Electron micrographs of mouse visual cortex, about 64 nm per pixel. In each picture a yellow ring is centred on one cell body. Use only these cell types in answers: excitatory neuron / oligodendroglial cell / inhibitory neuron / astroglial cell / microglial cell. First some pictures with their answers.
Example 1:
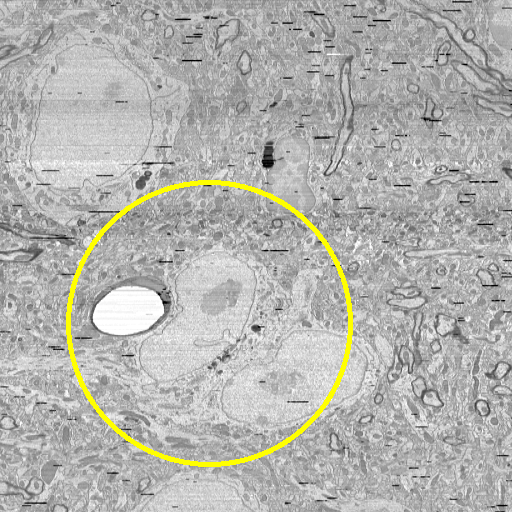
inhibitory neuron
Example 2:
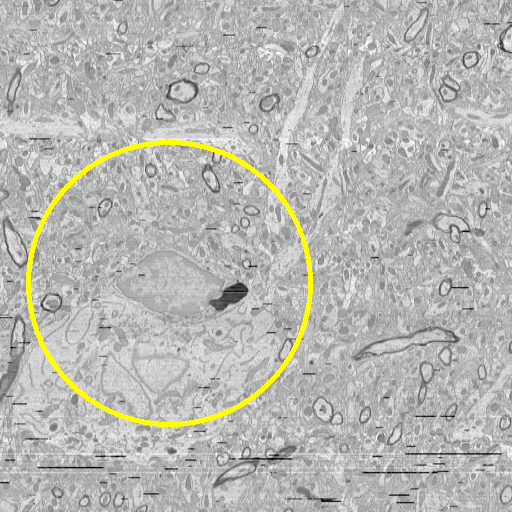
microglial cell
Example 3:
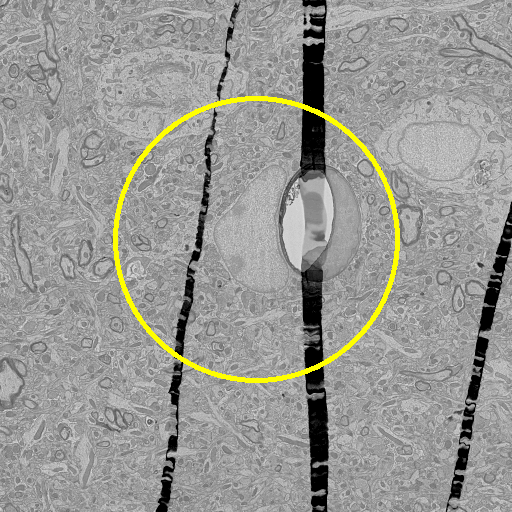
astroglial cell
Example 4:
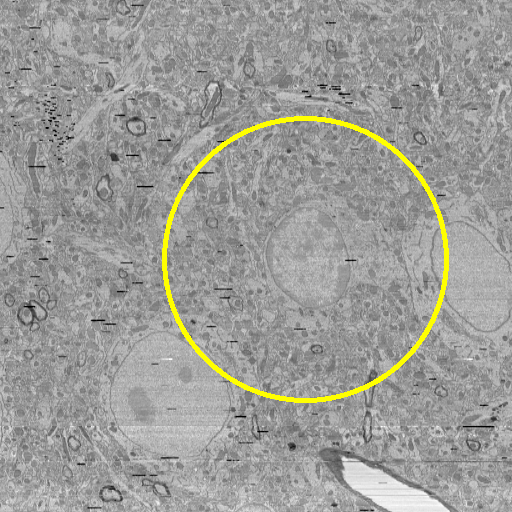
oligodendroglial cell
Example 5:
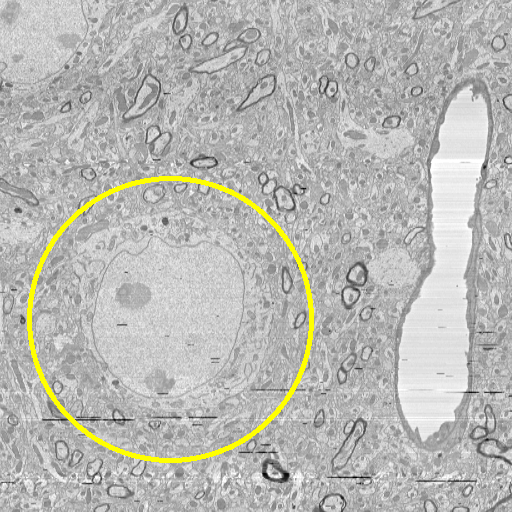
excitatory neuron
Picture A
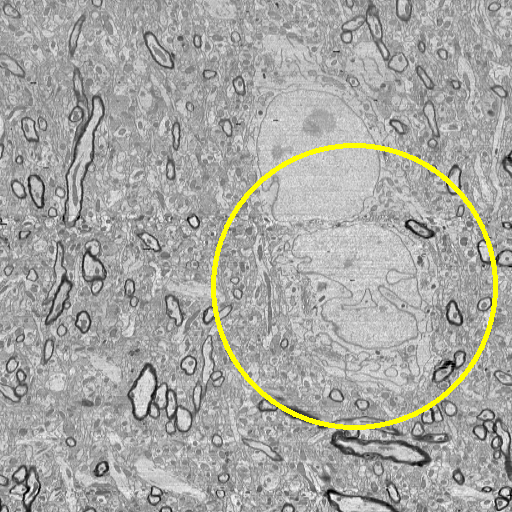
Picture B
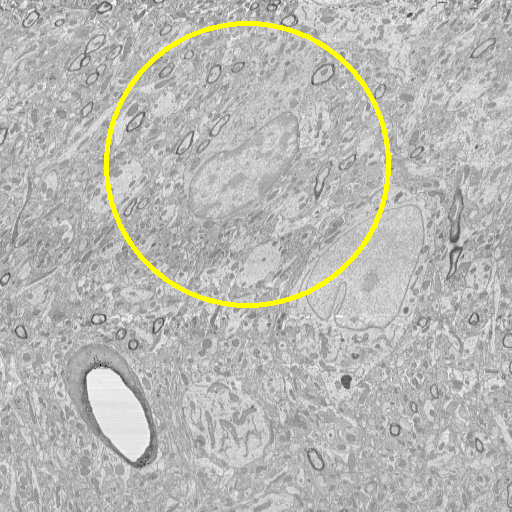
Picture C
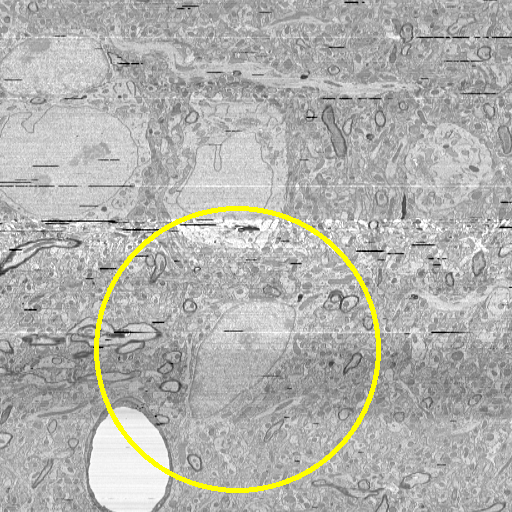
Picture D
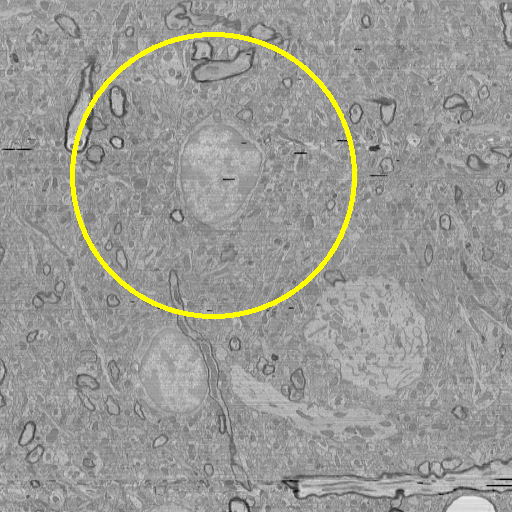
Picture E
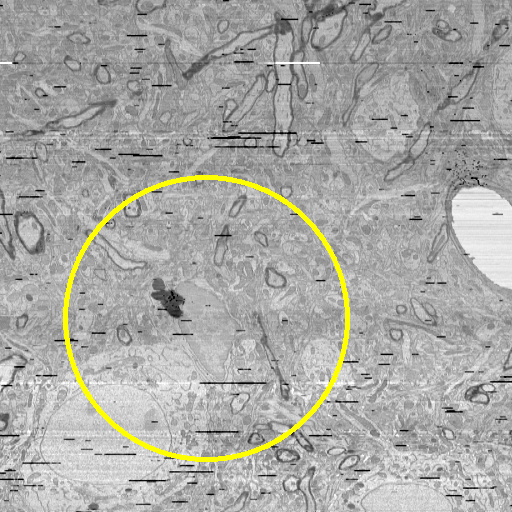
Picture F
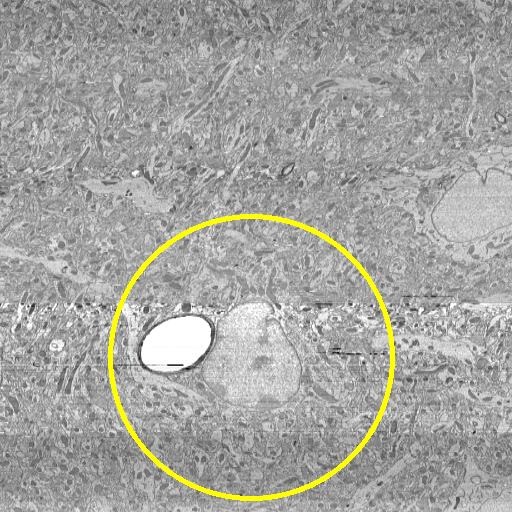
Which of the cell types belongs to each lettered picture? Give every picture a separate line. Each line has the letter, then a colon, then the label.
A: inhibitory neuron
B: oligodendroglial cell
C: astroglial cell
D: oligodendroglial cell
E: microglial cell
F: astroglial cell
